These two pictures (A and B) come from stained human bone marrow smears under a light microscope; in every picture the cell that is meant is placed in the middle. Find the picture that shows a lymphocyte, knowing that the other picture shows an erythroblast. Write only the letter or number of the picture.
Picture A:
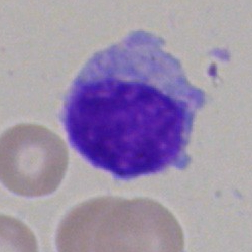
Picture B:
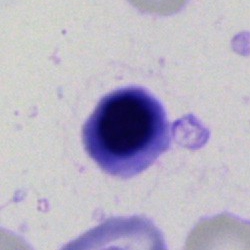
A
